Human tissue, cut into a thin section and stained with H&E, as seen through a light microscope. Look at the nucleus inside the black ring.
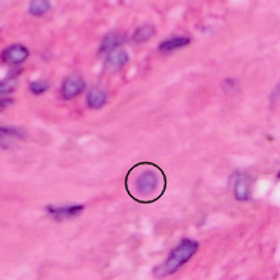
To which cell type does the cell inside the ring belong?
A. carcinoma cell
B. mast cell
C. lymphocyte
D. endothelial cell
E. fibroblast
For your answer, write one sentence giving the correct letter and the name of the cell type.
Of all the options, B is right, since the cell inside the ring is a mast cell.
